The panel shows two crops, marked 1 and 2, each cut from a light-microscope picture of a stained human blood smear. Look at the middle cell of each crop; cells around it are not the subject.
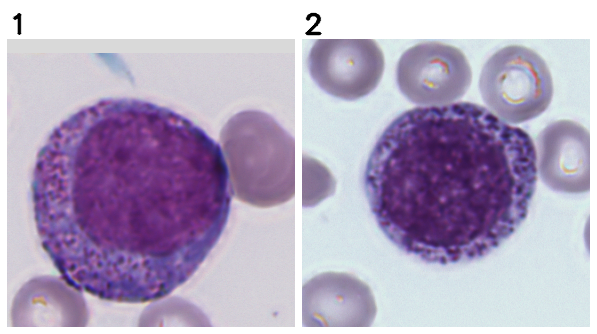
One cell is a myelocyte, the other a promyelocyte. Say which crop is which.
1: promyelocyte
2: myelocyte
